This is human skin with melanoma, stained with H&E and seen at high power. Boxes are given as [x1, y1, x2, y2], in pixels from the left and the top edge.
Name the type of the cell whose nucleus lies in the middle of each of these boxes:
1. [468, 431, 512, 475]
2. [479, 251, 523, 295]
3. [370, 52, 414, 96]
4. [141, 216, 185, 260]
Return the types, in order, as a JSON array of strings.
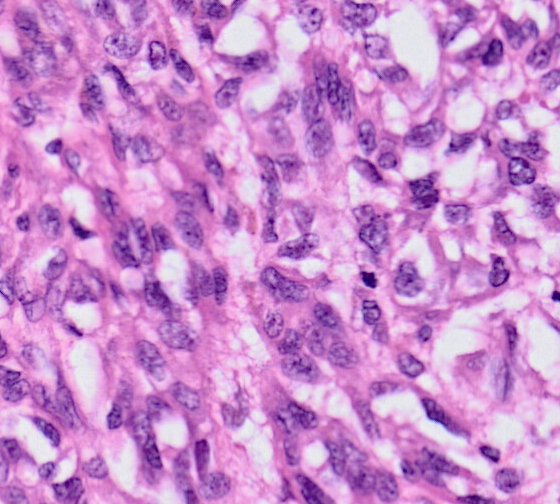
["macrophage or monocyte", "melanoma cell", "melanoma cell", "melanoma cell"]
